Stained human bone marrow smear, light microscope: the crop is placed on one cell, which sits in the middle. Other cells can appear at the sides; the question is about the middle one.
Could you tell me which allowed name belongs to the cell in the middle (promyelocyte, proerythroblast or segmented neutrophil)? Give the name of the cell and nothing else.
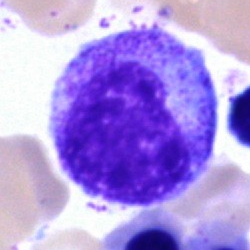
promyelocyte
